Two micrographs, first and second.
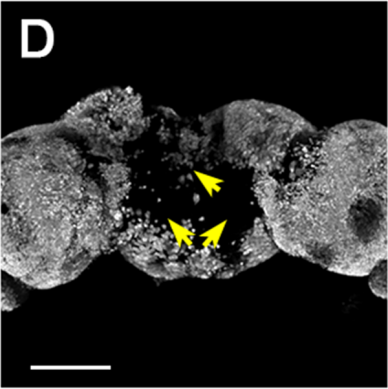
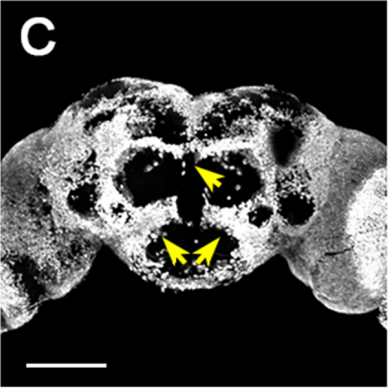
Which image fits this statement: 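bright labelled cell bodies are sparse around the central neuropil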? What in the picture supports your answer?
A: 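The first image. First image: the central region is largely dark with only scattered bright dots where the arrows point. Second image: dense clusters of bright round cell bodies surround the dark central neuropil regions.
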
